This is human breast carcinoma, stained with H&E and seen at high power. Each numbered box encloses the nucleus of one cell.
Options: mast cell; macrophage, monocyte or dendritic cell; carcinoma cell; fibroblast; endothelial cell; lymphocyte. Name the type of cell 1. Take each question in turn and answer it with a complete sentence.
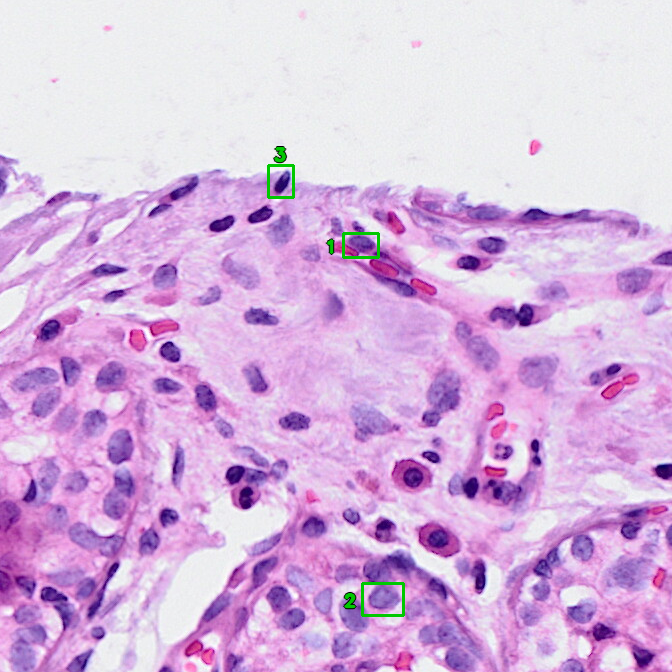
Corresponding to an endothelial cell is the cell labelled 1.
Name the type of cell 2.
Cell 2, among those numbered, is a carcinoma cell.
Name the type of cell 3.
Classified as a lymphocyte is the cell with the number 3.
